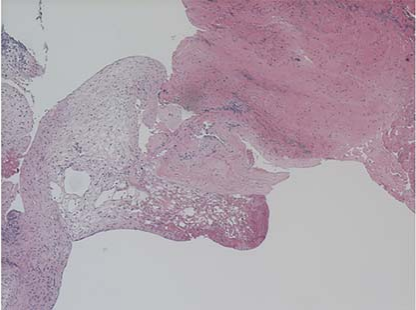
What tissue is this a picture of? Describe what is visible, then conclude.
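Dense pink eosinophilic fibrous stroma with wavy collagen bundles. Scattered small elongated nuclei among the fibres. No lining cell layer along the free edges. So: benign fibroconnective tissue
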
